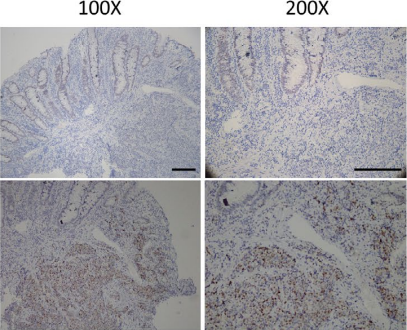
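Folded, gland-like epithelial structures are lined by tall cells and supported by a cellular stroma. In the lower pair many nuclei in the deeper cellular areas carry a brown stain.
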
